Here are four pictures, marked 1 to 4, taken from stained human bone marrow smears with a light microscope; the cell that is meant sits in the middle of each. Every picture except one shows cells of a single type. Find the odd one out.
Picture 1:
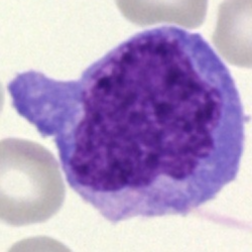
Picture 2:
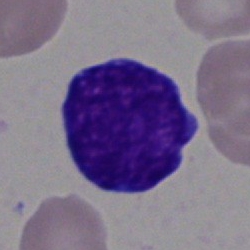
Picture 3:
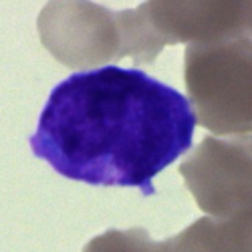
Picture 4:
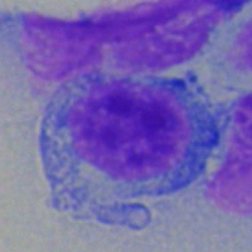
4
